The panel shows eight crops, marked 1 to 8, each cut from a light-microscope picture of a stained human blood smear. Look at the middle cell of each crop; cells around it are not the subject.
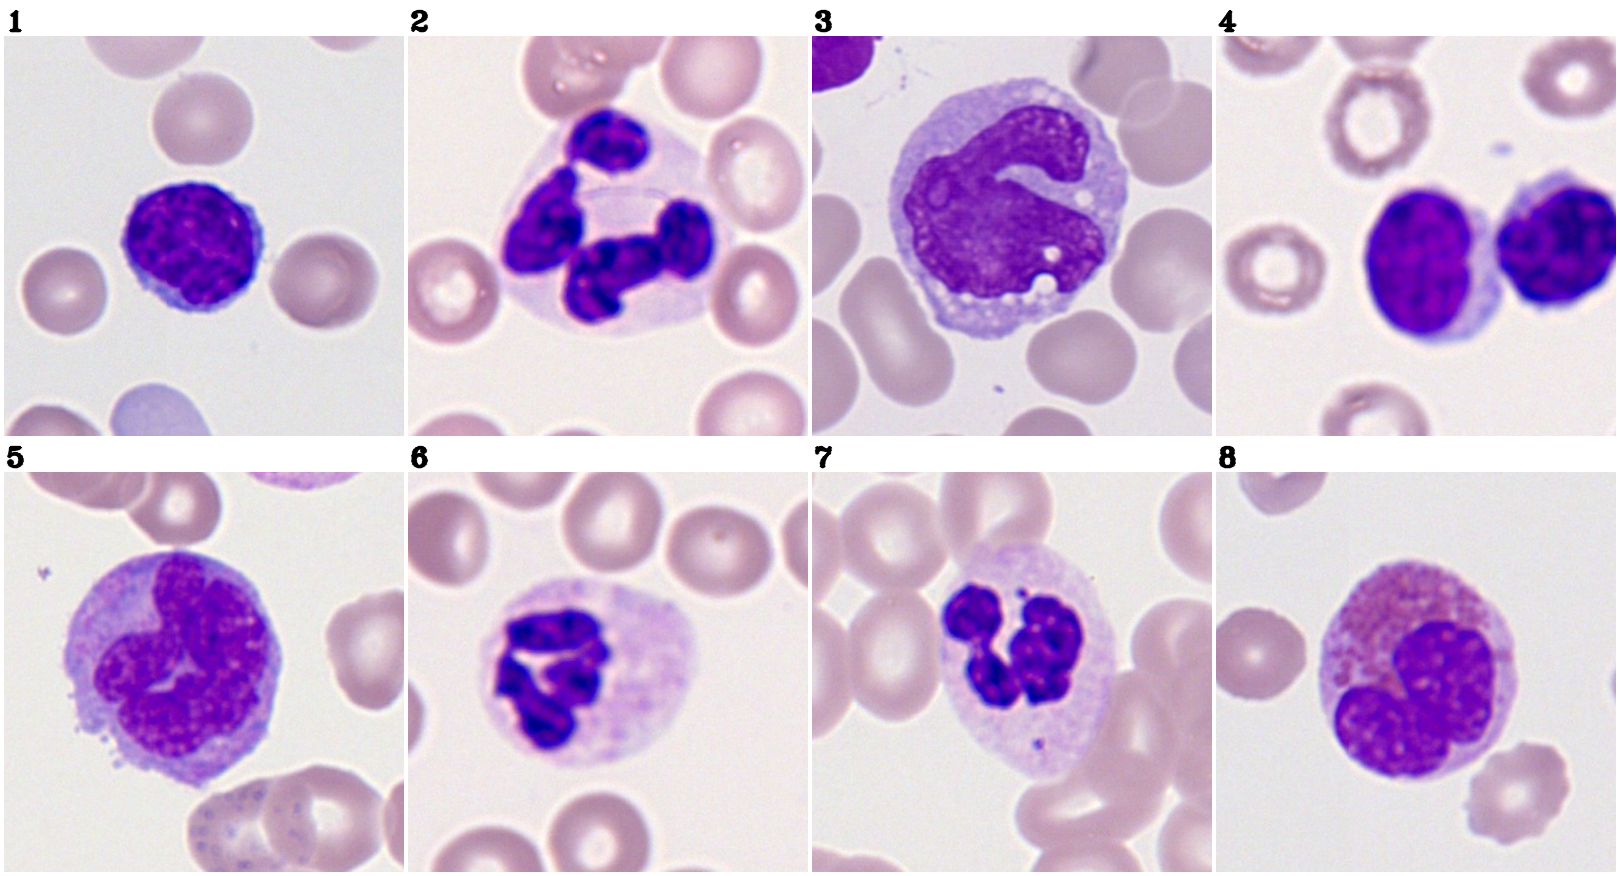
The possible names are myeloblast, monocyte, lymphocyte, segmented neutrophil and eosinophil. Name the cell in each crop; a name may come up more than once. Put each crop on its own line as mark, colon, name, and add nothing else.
1: lymphocyte
2: segmented neutrophil
3: monocyte
4: lymphocyte
5: monocyte
6: segmented neutrophil
7: segmented neutrophil
8: eosinophil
